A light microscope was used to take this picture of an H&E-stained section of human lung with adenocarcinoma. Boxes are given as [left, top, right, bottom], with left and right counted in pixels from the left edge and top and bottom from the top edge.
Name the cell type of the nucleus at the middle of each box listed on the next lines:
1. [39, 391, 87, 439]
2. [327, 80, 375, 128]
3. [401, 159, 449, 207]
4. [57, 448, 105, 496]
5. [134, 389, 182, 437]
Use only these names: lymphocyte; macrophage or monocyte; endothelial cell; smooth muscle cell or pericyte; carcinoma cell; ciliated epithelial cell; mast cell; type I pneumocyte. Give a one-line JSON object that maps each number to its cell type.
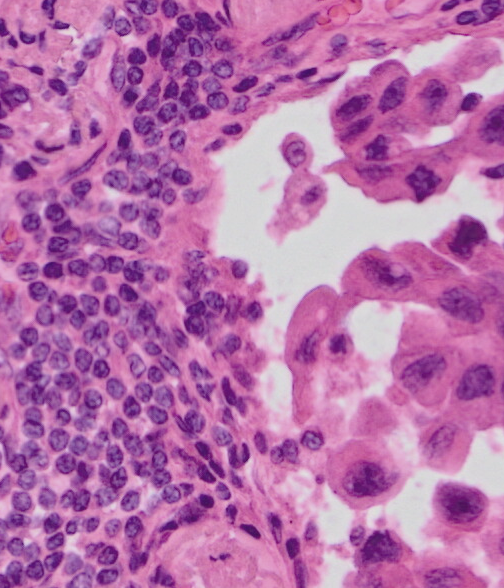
{"1": "lymphocyte", "2": "carcinoma cell", "3": "carcinoma cell", "4": "lymphocyte", "5": "lymphocyte"}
